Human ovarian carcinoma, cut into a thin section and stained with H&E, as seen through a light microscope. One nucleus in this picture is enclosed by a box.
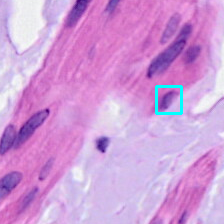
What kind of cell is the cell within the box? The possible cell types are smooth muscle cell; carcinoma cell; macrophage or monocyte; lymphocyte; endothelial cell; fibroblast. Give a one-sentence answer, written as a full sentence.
Placed in its cell category, the cell within the box is a smooth muscle cell.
